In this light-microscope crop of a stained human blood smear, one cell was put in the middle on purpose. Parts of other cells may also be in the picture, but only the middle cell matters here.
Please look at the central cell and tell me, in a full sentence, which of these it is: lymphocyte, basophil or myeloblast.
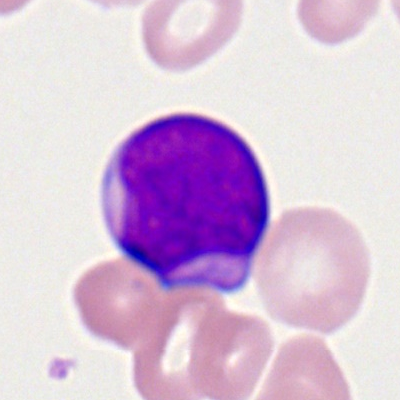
Whatever else lies nearby, the middle cell is a myeloblast.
